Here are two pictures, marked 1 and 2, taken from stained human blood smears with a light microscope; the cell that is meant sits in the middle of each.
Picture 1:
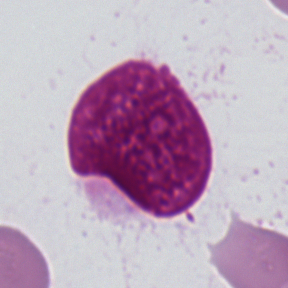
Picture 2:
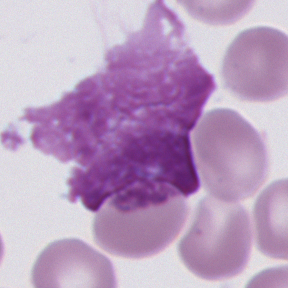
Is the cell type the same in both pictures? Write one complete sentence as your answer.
Yes; the cells in both pictures are smudge cells.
